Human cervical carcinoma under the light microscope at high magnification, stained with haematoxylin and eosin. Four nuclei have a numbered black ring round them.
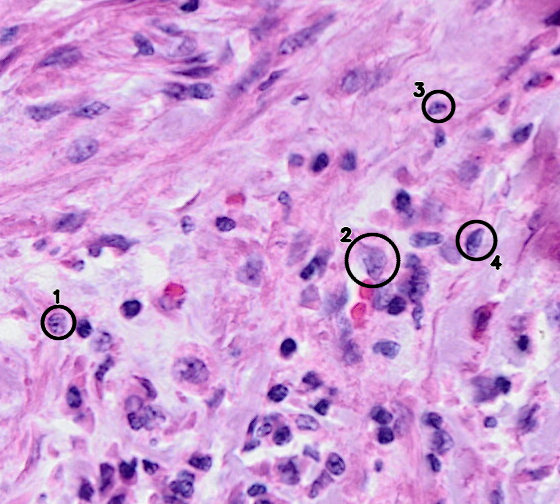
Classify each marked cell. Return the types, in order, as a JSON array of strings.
["macrophage or monocyte", "endothelial cell", "lymphocyte", "lymphocyte"]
